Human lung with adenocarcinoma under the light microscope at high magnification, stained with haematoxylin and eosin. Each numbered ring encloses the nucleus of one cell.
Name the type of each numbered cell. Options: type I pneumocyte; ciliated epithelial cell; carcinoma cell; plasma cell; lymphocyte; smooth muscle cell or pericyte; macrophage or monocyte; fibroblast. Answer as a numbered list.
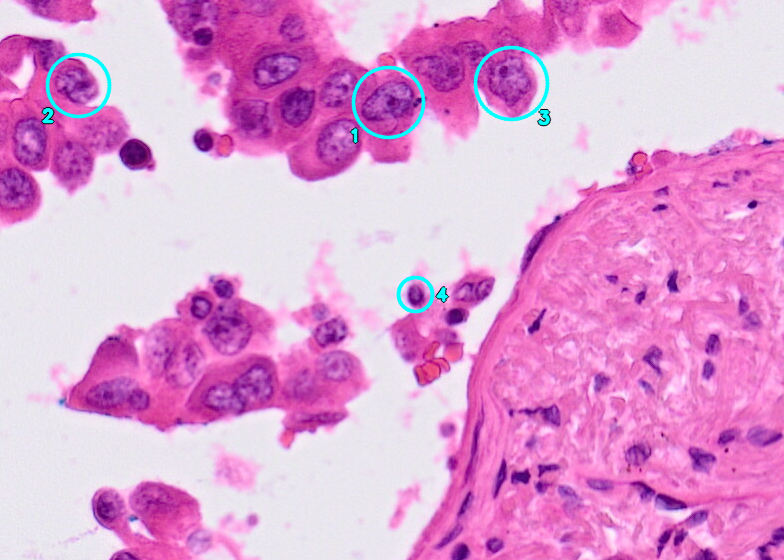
1. carcinoma cell
2. carcinoma cell
3. carcinoma cell
4. lymphocyte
